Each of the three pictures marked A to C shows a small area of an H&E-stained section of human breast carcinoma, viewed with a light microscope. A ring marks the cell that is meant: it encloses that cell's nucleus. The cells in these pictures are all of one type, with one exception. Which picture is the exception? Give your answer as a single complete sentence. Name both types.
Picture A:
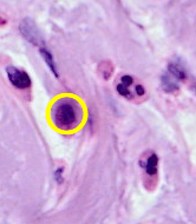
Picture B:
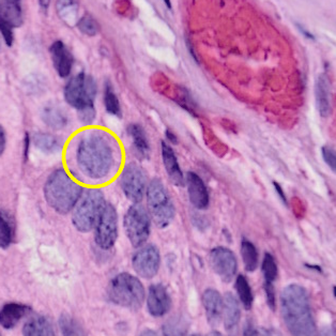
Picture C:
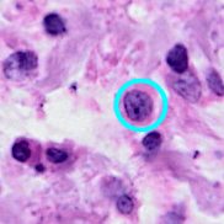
The others show mast cells, but picture B shows a carcinoma cell.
